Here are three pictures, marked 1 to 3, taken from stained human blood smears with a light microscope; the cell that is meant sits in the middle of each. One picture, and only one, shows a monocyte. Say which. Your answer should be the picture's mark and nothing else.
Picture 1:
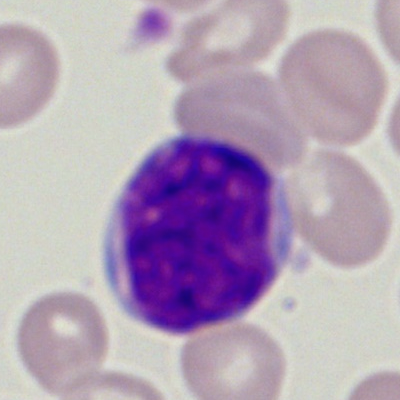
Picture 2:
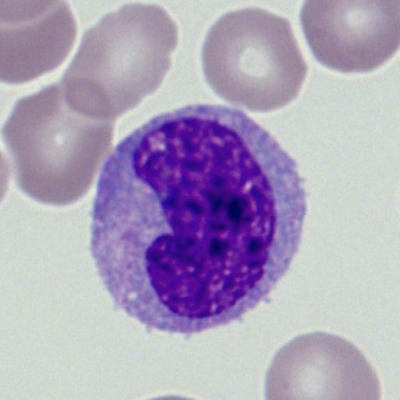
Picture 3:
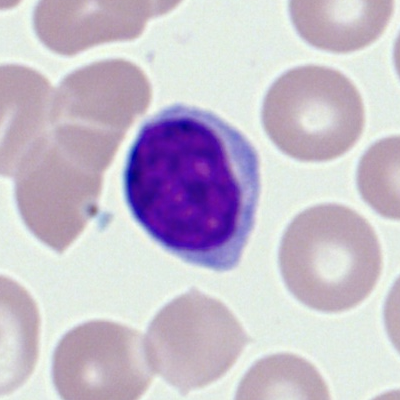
2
